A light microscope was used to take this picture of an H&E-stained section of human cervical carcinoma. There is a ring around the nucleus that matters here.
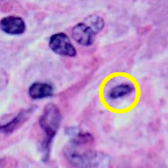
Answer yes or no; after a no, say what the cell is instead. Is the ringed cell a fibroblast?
No, it is a lymphocyte.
